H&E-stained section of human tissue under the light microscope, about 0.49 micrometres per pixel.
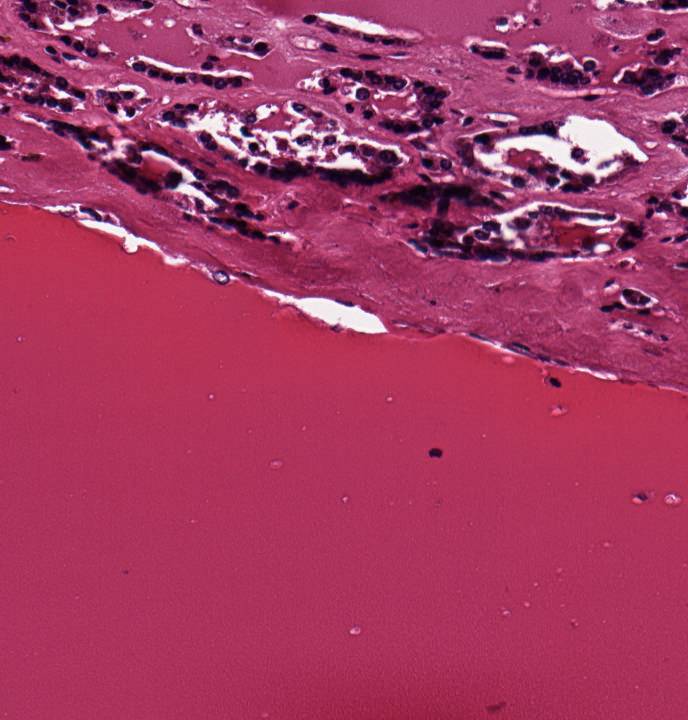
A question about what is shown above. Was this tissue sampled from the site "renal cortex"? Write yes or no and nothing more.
no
